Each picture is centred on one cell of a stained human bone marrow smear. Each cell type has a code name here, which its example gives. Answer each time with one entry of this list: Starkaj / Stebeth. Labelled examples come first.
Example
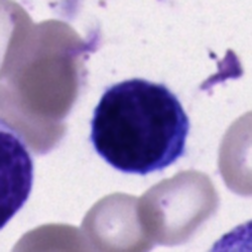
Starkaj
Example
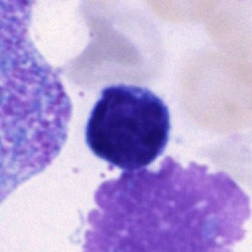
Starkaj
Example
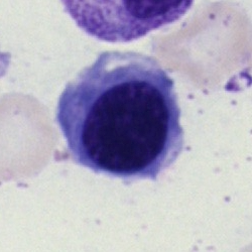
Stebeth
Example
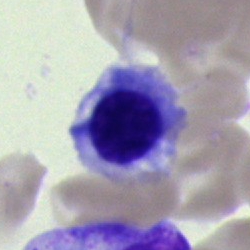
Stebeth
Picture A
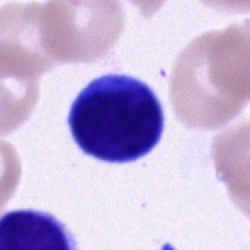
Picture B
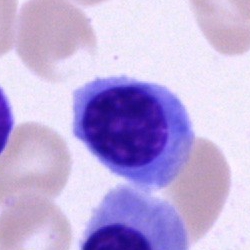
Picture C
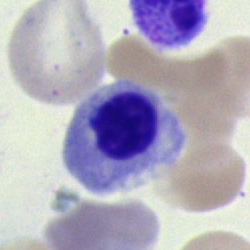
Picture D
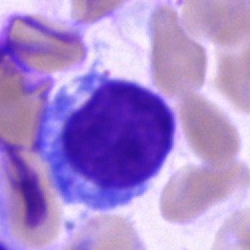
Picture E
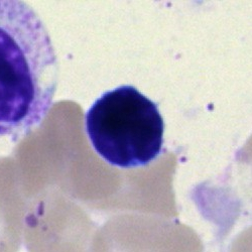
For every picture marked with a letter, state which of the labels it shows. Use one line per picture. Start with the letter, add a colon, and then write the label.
A: Starkaj
B: Stebeth
C: Stebeth
D: Starkaj
E: Starkaj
